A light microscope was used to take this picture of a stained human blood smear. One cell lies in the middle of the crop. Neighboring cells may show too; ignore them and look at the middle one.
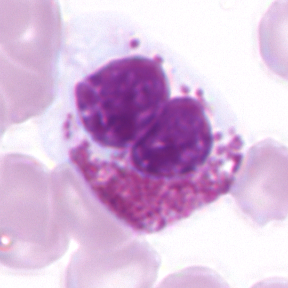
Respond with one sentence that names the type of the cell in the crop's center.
The cell in the exact centre of the crop is an eosinophil.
